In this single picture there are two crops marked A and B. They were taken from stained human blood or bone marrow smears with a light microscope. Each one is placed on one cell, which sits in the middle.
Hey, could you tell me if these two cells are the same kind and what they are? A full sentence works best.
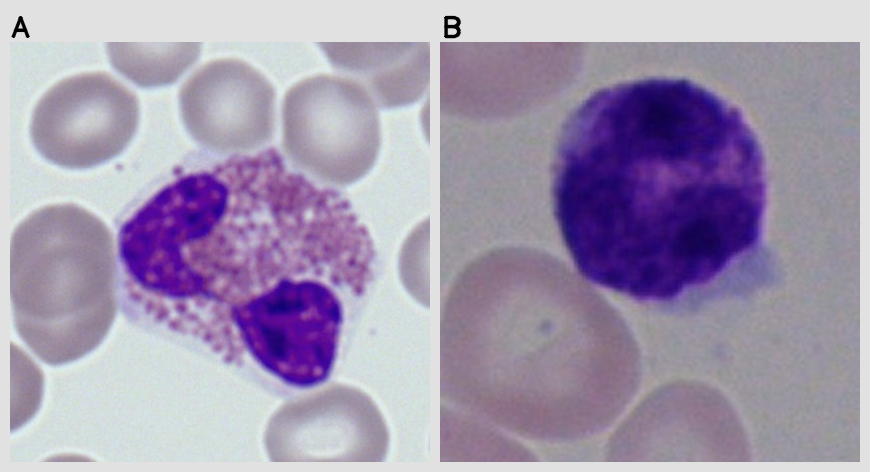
No, what crop A shows is an eosinophil, and what crop B shows is a segmented neutrophil.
